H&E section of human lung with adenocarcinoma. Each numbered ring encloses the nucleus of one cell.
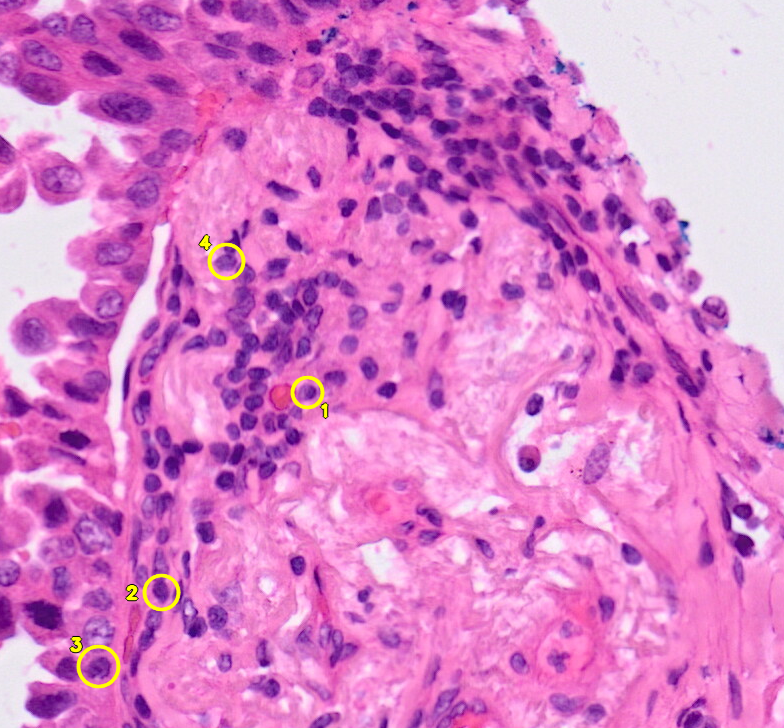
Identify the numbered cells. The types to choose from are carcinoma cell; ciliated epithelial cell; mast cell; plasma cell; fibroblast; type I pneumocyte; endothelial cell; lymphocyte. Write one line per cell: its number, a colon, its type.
1: lymphocyte
2: lymphocyte
3: carcinoma cell
4: lymphocyte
